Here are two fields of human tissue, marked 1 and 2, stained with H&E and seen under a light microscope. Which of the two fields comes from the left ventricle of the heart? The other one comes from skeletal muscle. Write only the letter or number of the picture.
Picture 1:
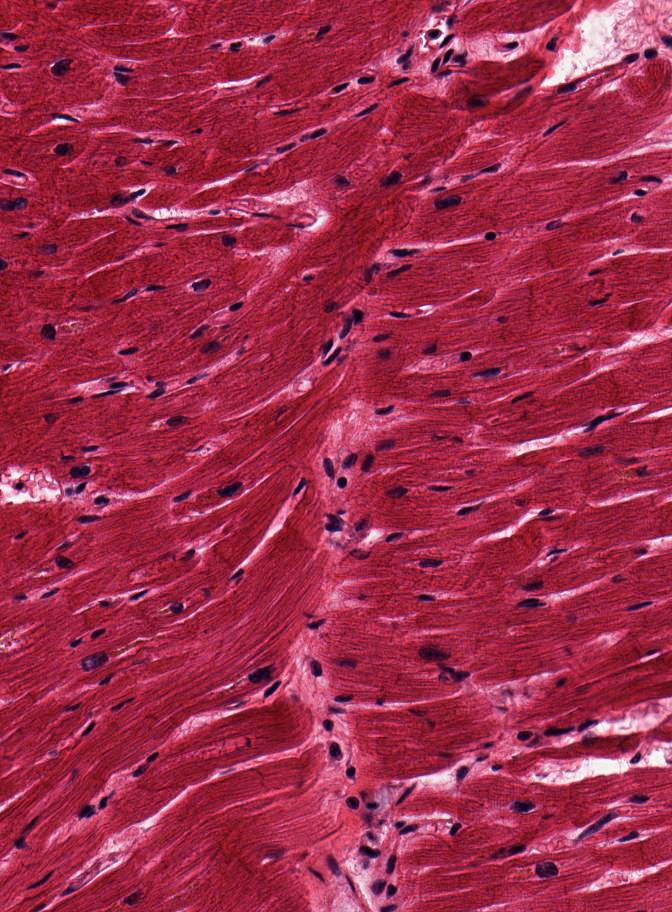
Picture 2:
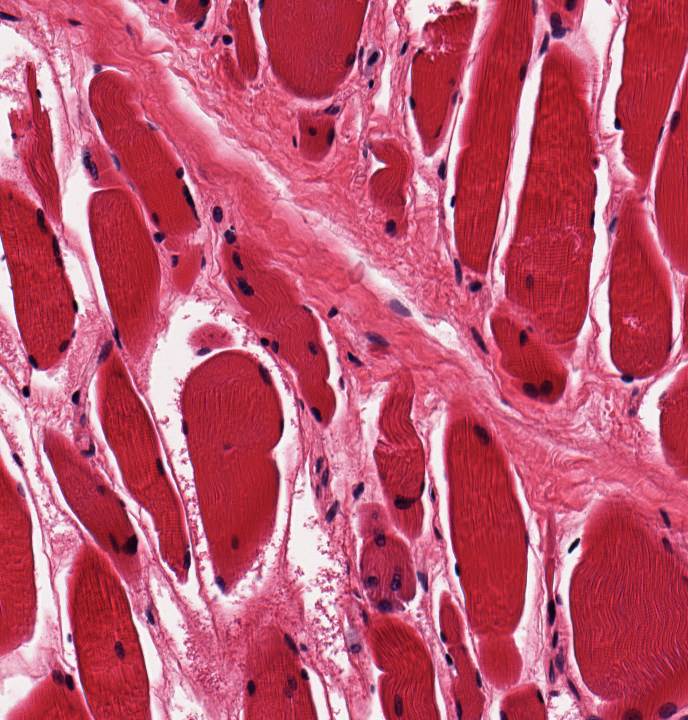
1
